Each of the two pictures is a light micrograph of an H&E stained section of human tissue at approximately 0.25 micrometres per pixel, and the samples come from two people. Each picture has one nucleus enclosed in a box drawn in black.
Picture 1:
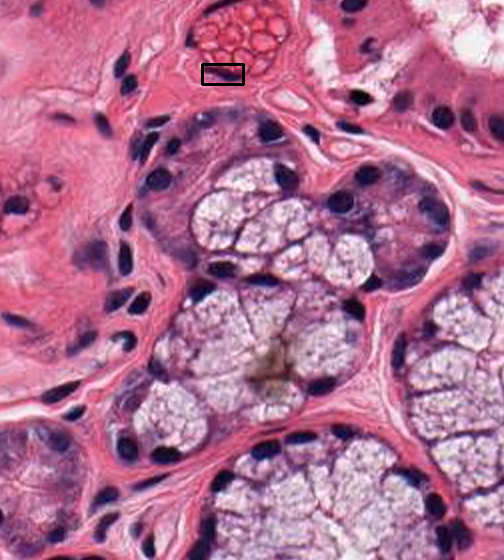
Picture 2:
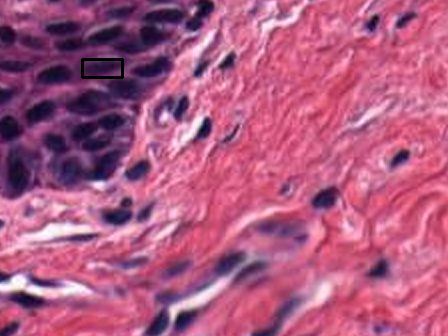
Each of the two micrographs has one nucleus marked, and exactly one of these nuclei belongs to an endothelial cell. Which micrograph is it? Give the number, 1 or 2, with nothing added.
1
